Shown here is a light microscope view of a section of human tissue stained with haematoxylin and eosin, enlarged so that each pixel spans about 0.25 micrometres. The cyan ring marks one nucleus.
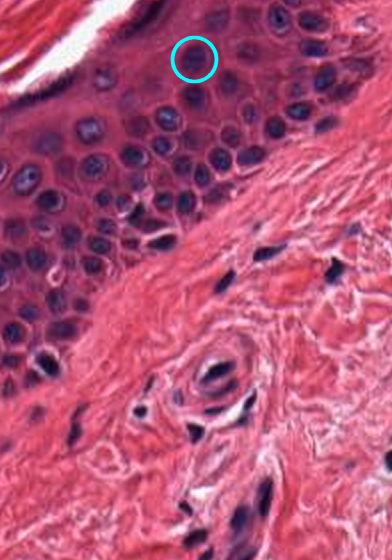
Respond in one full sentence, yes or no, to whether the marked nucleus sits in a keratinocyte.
Yes, the nucleus marked in the image belongs to a keratinocyte.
